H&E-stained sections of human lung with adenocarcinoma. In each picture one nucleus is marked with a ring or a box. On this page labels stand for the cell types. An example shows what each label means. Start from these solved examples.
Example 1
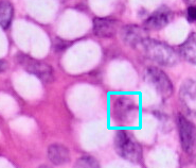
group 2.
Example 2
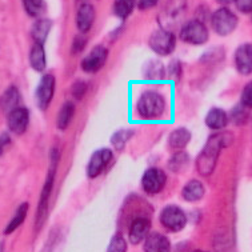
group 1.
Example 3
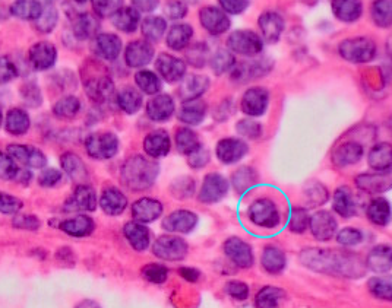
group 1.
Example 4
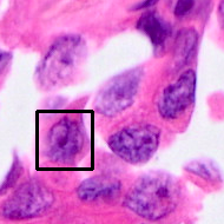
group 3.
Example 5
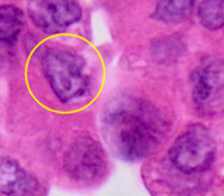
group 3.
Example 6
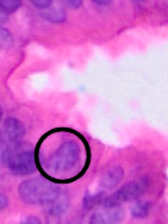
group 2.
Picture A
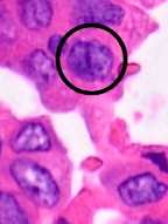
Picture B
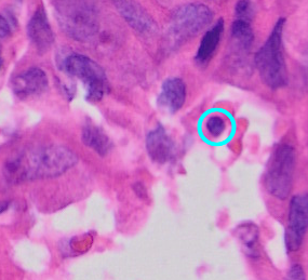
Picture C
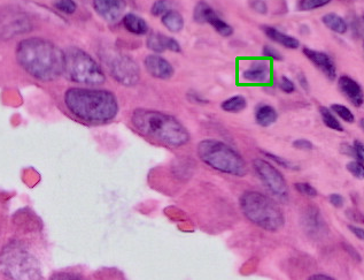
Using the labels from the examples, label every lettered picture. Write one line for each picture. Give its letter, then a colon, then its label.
A: group 3.
B: group 1.
C: group 1.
